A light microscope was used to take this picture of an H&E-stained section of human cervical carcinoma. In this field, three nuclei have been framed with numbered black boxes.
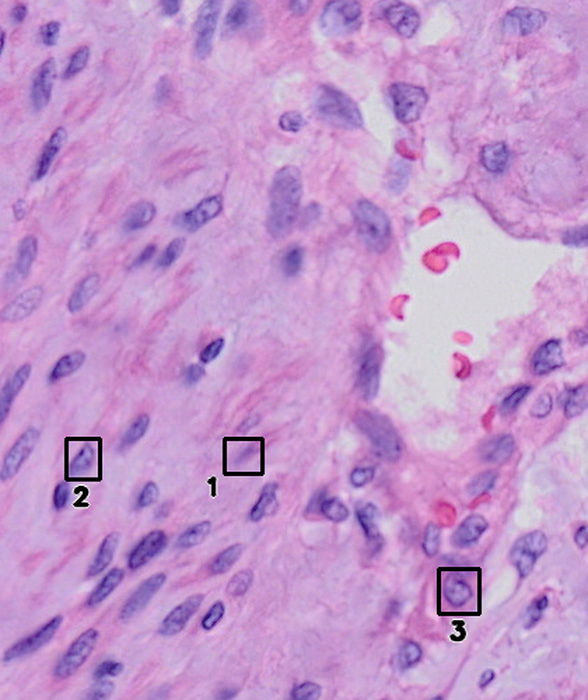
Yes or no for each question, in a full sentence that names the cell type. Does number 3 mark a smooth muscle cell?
No, cell 3 is not a smooth muscle cell; it is an endothelial cell.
